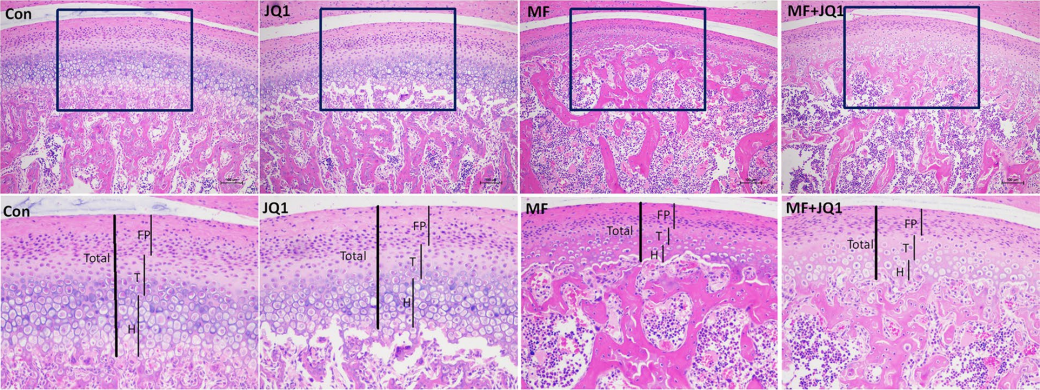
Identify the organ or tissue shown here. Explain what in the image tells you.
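Condylar cartilage. Beneath this layer lie pink trabeculae of bone with marrow spaces between them.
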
